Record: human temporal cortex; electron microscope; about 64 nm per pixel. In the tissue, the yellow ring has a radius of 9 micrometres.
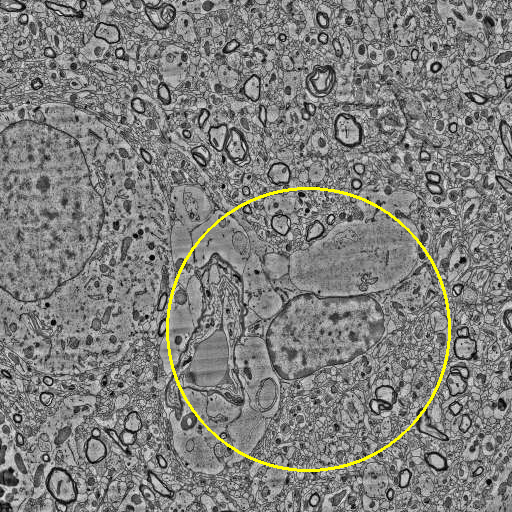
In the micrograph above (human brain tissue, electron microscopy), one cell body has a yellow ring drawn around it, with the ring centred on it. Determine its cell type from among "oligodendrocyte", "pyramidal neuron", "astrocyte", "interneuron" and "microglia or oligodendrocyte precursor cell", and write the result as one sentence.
The cell whose body is ringed is a microglial cell or oligodendrocyte precursor cell.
